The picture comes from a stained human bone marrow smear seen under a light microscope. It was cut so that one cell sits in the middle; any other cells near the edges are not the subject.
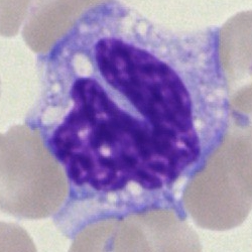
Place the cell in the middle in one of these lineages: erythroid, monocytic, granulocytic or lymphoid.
monocytic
